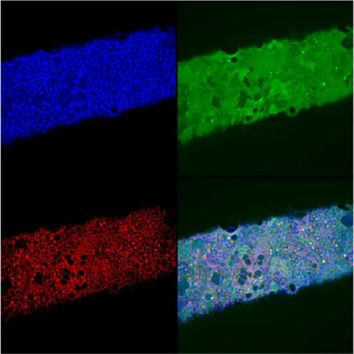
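A dense sheet of cells with small round blue nuclei fills a strip-shaped field. Red outlines mark the polygonal borders of the cells, with some larger dark round gaps in the layer, while green fills the cells brightly and fairly evenly; the merged image shows the colours overlapping across the sheet.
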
